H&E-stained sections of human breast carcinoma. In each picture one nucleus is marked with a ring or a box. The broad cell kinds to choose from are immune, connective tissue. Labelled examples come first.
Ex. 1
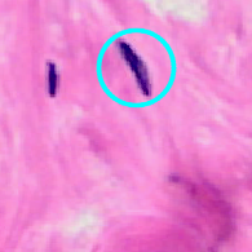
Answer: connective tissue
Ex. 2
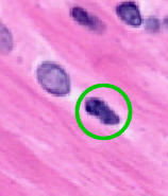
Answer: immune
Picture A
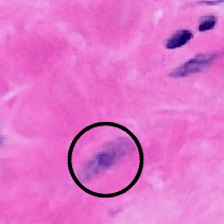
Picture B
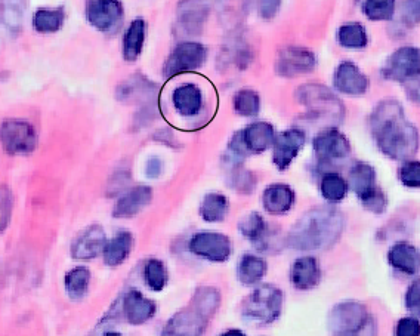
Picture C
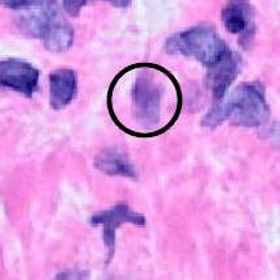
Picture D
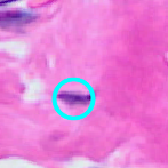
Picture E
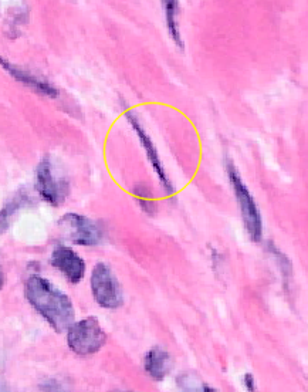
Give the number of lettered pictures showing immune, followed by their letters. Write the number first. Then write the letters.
Count: 1 (B)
